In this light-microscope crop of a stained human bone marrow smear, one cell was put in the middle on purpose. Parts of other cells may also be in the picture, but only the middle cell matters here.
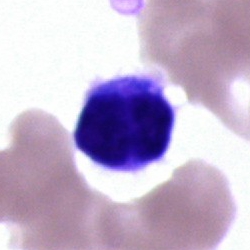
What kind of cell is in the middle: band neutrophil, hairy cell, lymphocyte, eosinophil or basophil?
lymphocyte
